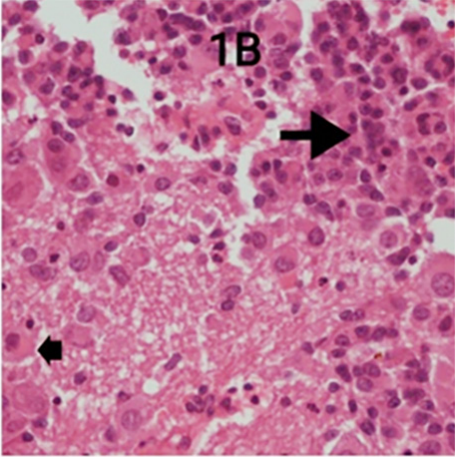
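This tumor shows two cell populations side by side. In the upper right, smaller round to oval cells with round dark nuclei and pink cytoplasm are packed in clusters. Elsewhere, large ganglion-like cells with abundant pink cytoplasm, large round nuclei and prominent nucleoli lie scattered, some with two nuclei.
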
